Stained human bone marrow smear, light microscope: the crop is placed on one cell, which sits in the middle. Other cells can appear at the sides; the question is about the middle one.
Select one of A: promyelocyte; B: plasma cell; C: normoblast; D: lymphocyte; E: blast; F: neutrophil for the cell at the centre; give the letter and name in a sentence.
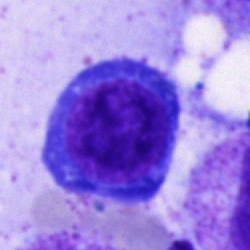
With the cell in the middle being a normoblast, option C is the correct choice.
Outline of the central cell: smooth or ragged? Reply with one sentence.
Nothing juts out from the margin, which is smooth throughout.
